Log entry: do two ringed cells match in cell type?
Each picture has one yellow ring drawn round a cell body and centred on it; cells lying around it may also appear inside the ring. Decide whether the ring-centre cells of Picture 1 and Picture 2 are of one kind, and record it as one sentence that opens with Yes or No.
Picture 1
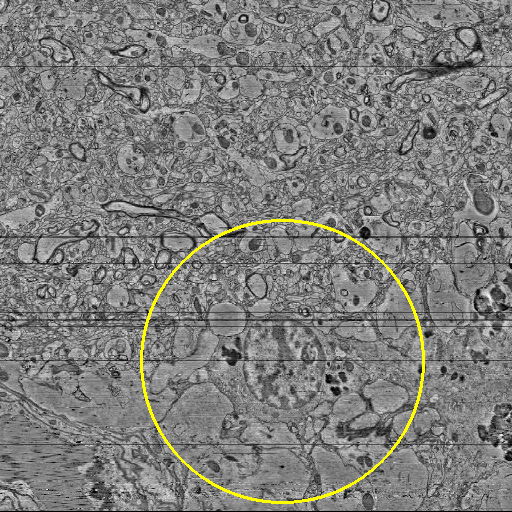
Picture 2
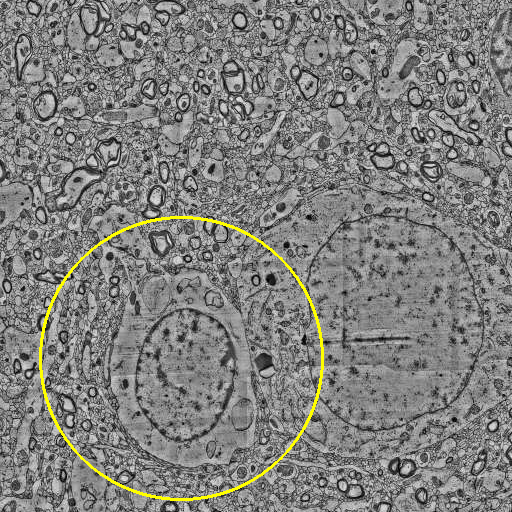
No, the cells at the ring centres of the two pictures belong to two kinds.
